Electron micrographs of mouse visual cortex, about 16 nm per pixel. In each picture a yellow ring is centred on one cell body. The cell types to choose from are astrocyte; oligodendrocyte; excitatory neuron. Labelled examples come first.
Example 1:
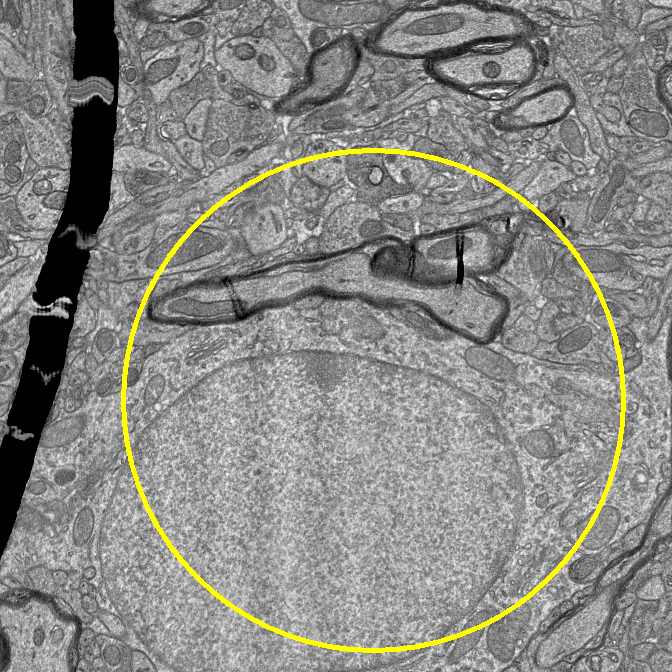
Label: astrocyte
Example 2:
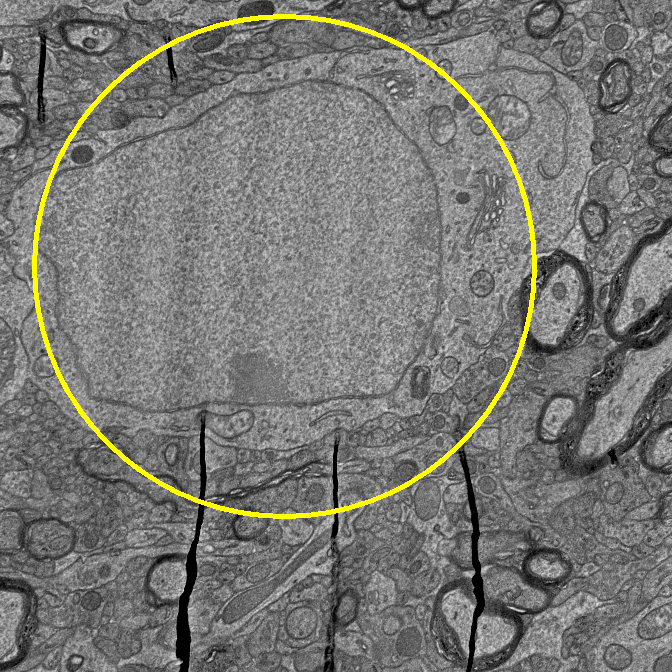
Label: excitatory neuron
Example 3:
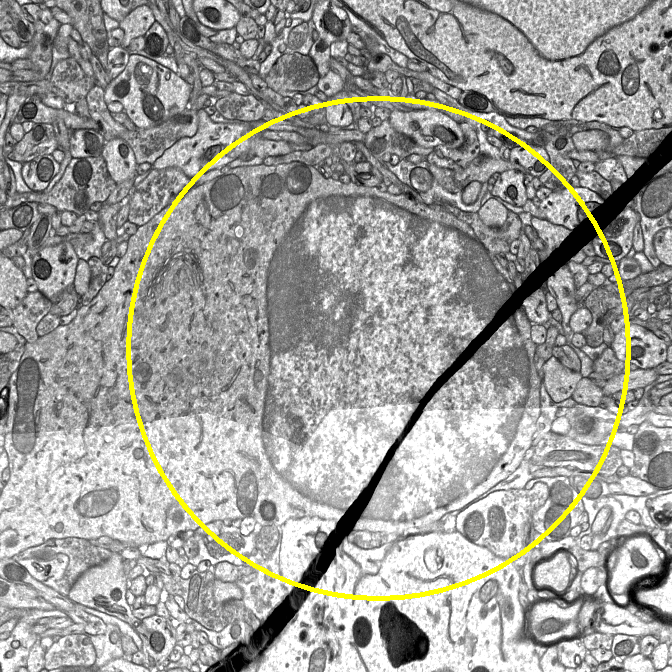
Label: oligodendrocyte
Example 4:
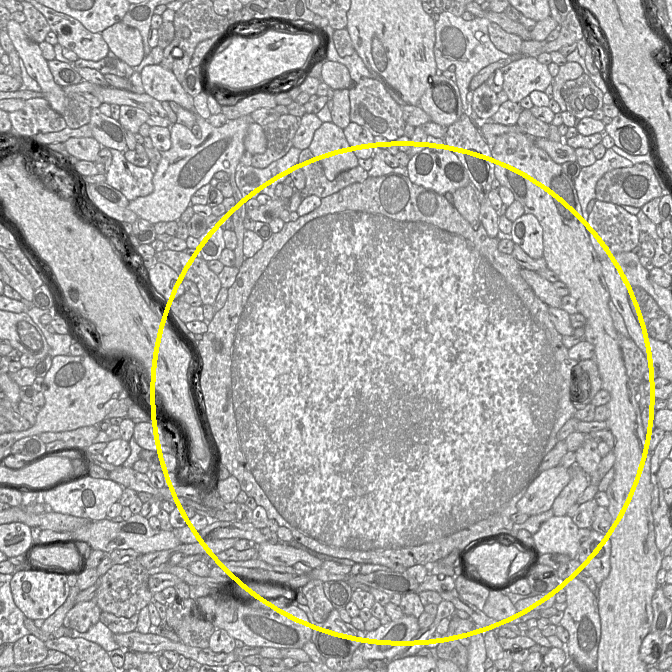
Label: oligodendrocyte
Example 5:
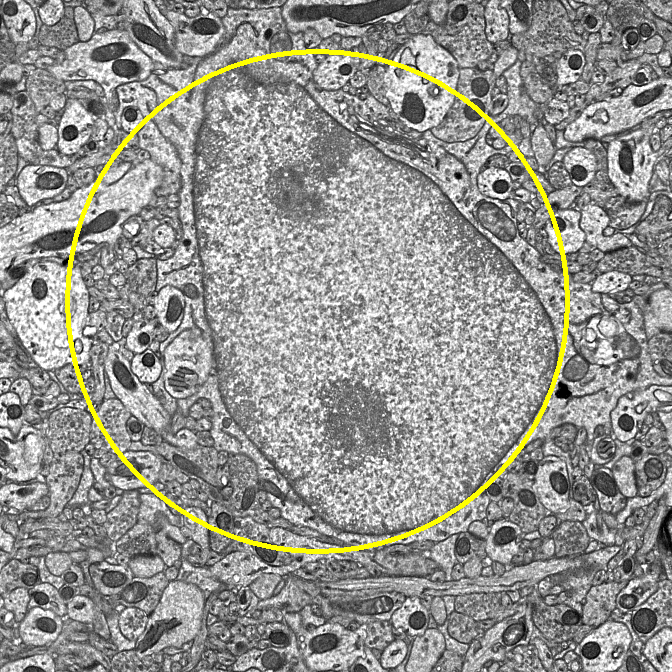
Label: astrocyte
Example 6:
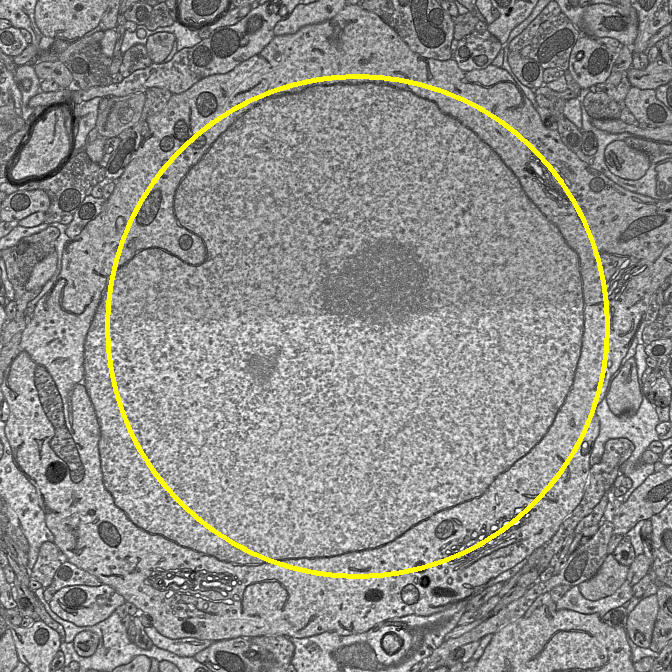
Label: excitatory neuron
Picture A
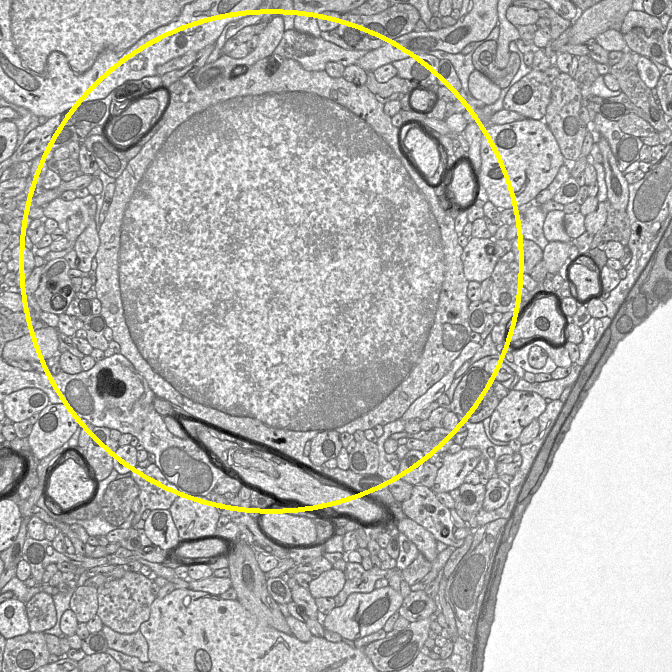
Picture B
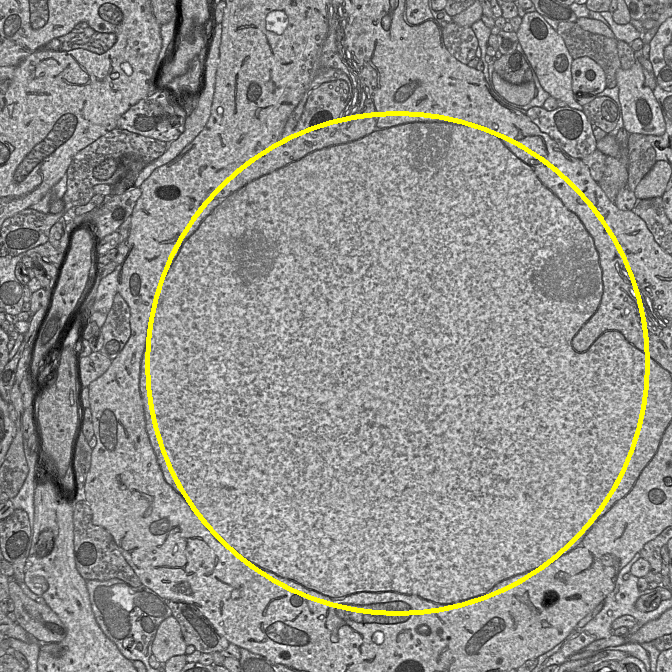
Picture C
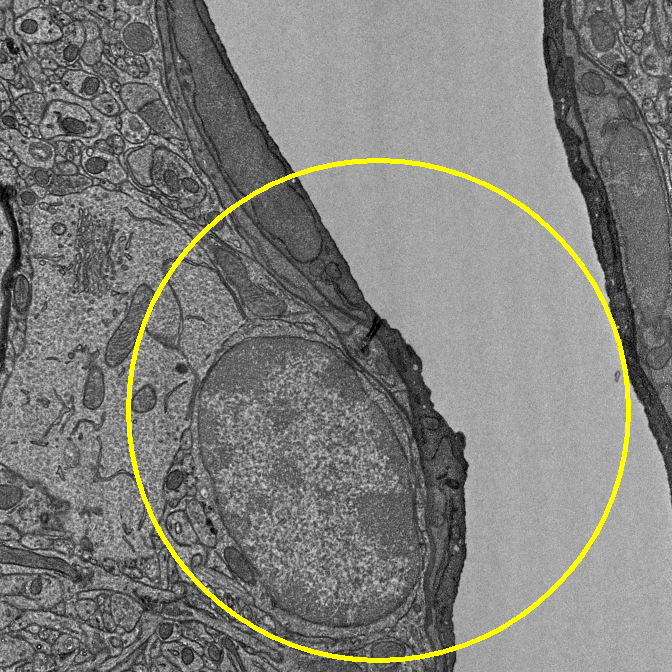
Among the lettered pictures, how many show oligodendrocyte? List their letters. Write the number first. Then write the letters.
2, namely A, C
